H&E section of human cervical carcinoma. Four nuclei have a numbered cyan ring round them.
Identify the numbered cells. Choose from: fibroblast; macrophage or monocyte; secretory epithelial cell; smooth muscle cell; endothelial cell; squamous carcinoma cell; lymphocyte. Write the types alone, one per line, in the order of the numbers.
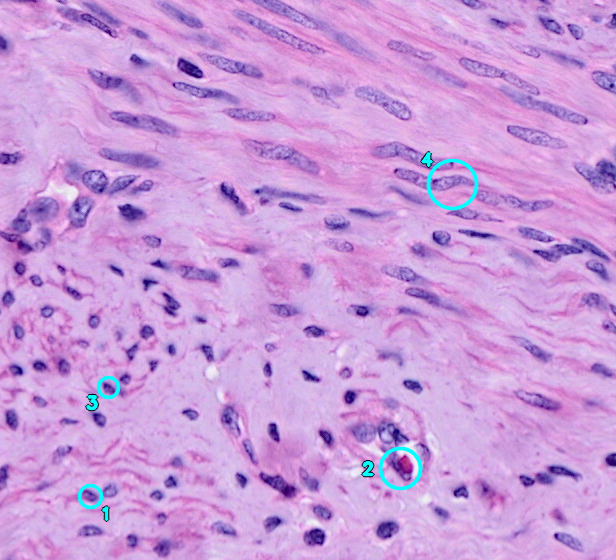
smooth muscle cell
endothelial cell
smooth muscle cell
smooth muscle cell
